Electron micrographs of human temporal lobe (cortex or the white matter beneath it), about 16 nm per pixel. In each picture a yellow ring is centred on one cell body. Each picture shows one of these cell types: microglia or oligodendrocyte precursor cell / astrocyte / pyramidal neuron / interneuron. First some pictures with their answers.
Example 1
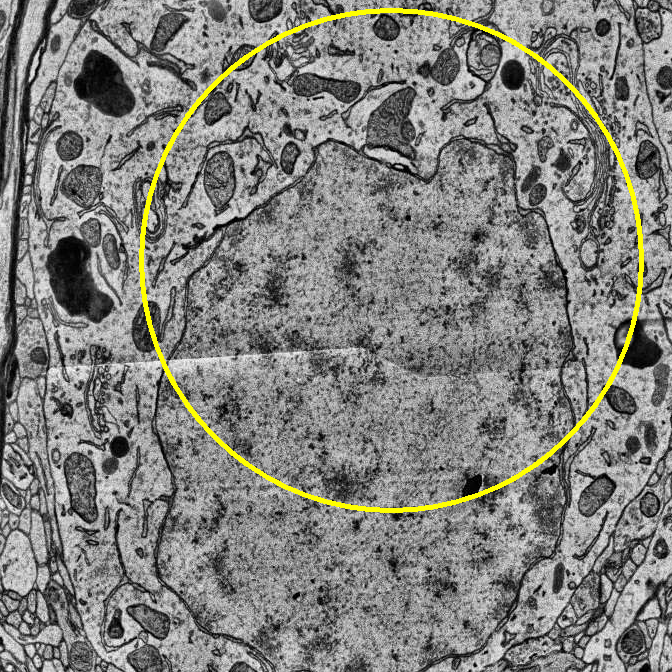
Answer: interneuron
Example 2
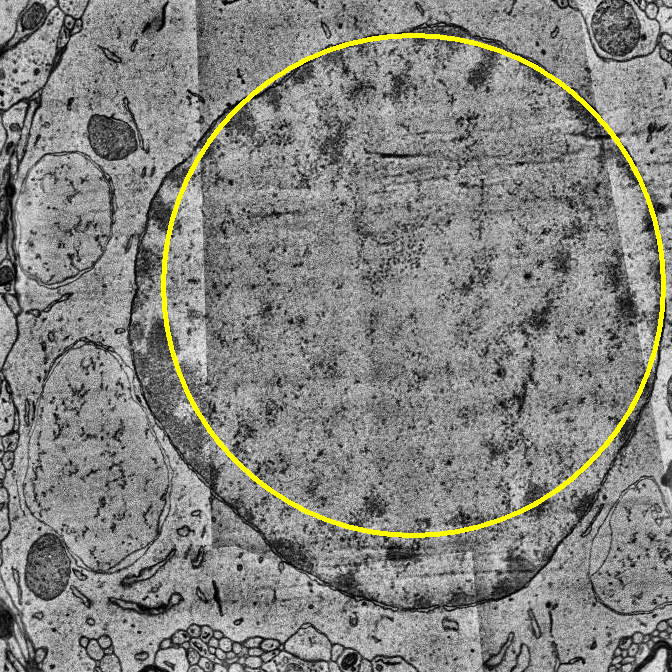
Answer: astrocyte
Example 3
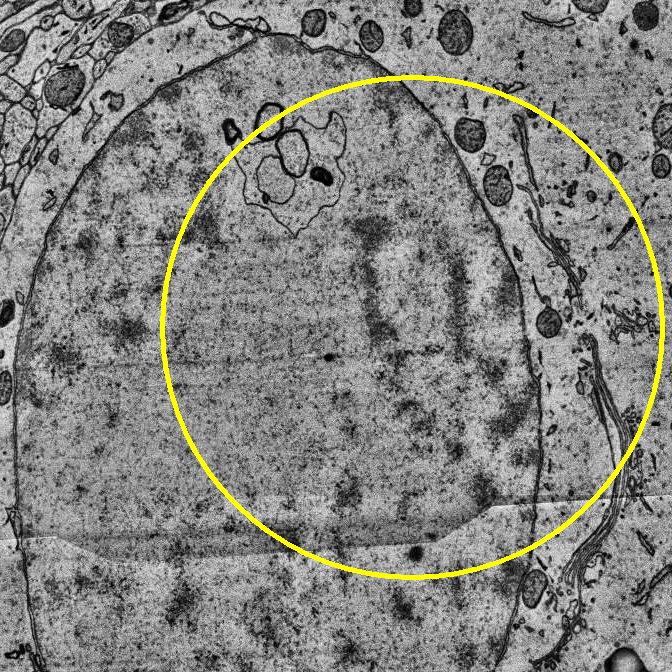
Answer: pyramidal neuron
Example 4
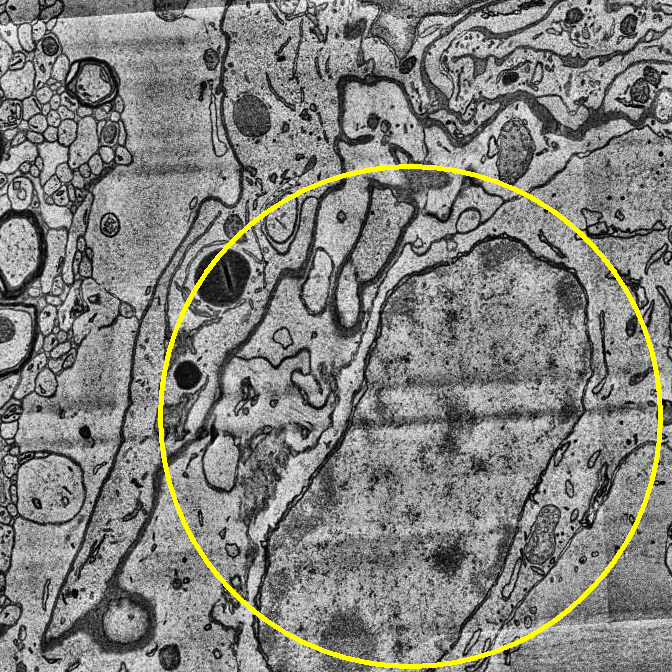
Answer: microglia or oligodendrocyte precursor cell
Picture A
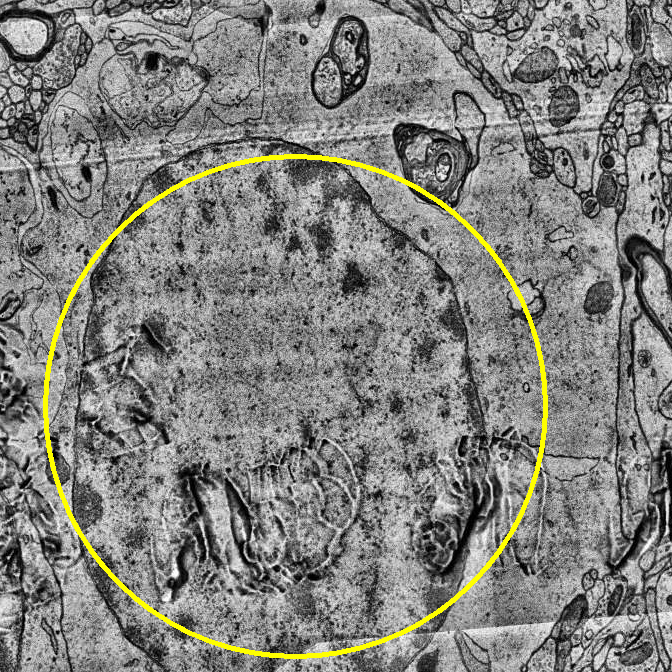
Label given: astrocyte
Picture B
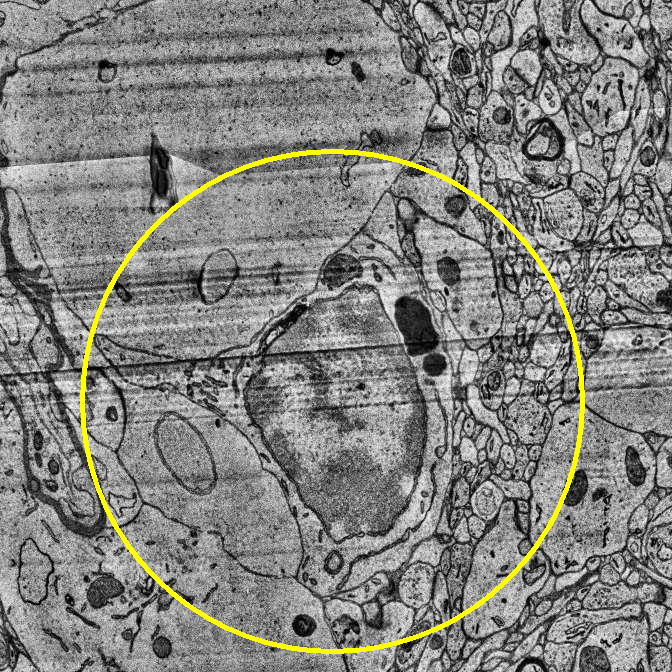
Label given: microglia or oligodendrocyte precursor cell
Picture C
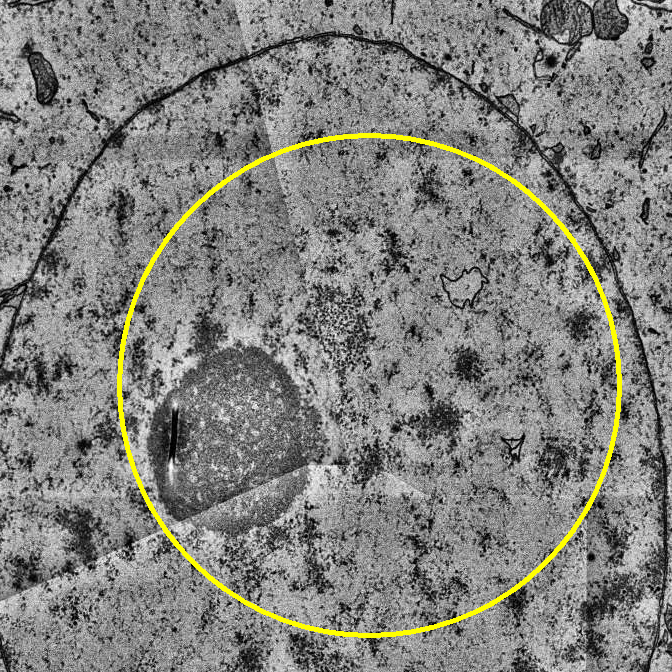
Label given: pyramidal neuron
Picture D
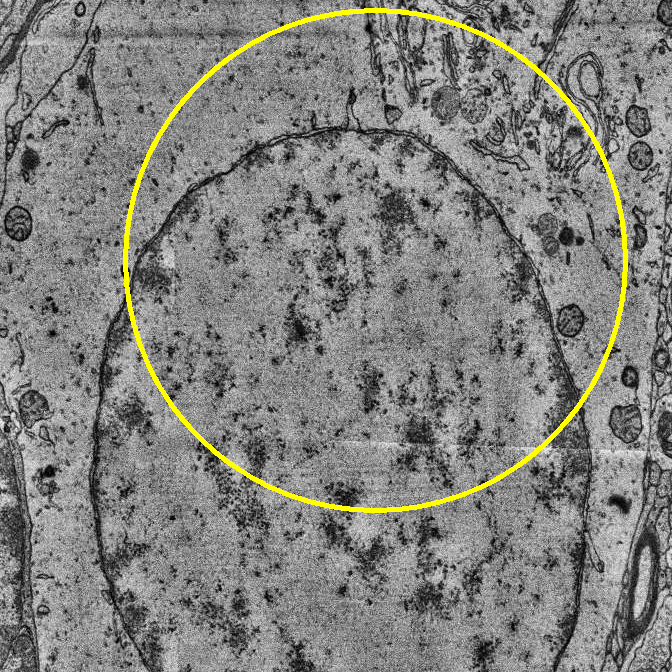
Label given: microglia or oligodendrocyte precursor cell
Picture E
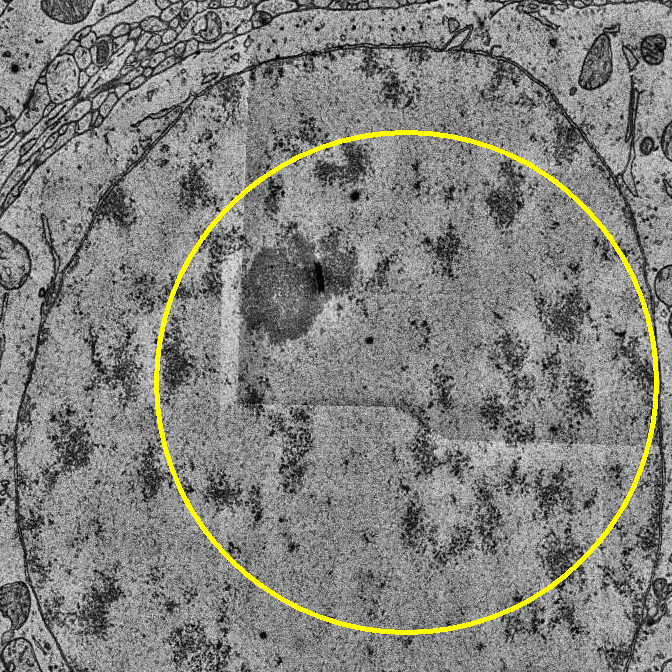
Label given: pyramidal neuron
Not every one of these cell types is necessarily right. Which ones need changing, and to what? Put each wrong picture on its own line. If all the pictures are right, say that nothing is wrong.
D: change microglia or oligodendrocyte precursor cell to pyramidal neuron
